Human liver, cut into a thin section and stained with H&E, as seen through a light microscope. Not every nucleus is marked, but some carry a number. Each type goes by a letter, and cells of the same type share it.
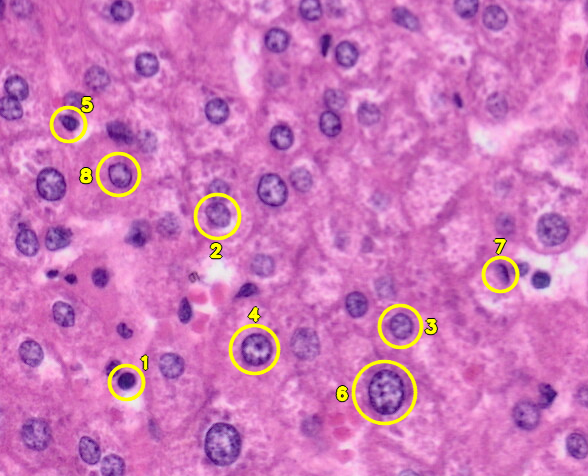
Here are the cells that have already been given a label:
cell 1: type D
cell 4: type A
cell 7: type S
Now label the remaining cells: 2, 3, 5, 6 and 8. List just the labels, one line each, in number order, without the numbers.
type A
type A
type D
type A
type A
